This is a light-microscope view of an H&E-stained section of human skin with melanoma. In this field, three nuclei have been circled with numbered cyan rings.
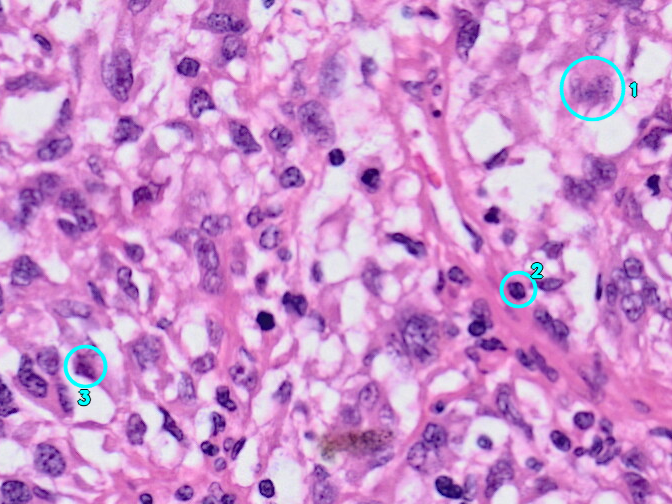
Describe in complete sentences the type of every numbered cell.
Cells 1 and 3 are melanoma cells. Cell 2 is a lymphocyte.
